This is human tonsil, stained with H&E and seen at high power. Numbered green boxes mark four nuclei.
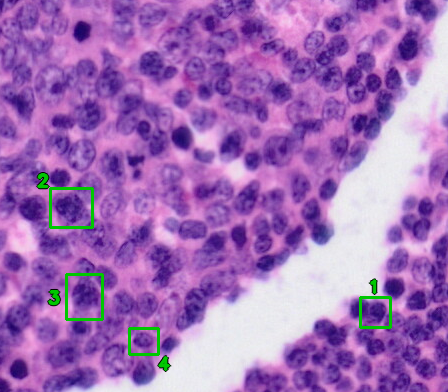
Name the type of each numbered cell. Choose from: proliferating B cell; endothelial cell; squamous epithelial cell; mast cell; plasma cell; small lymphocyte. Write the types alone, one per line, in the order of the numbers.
small lymphocyte
proliferating B cell
proliferating B cell
proliferating B cell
